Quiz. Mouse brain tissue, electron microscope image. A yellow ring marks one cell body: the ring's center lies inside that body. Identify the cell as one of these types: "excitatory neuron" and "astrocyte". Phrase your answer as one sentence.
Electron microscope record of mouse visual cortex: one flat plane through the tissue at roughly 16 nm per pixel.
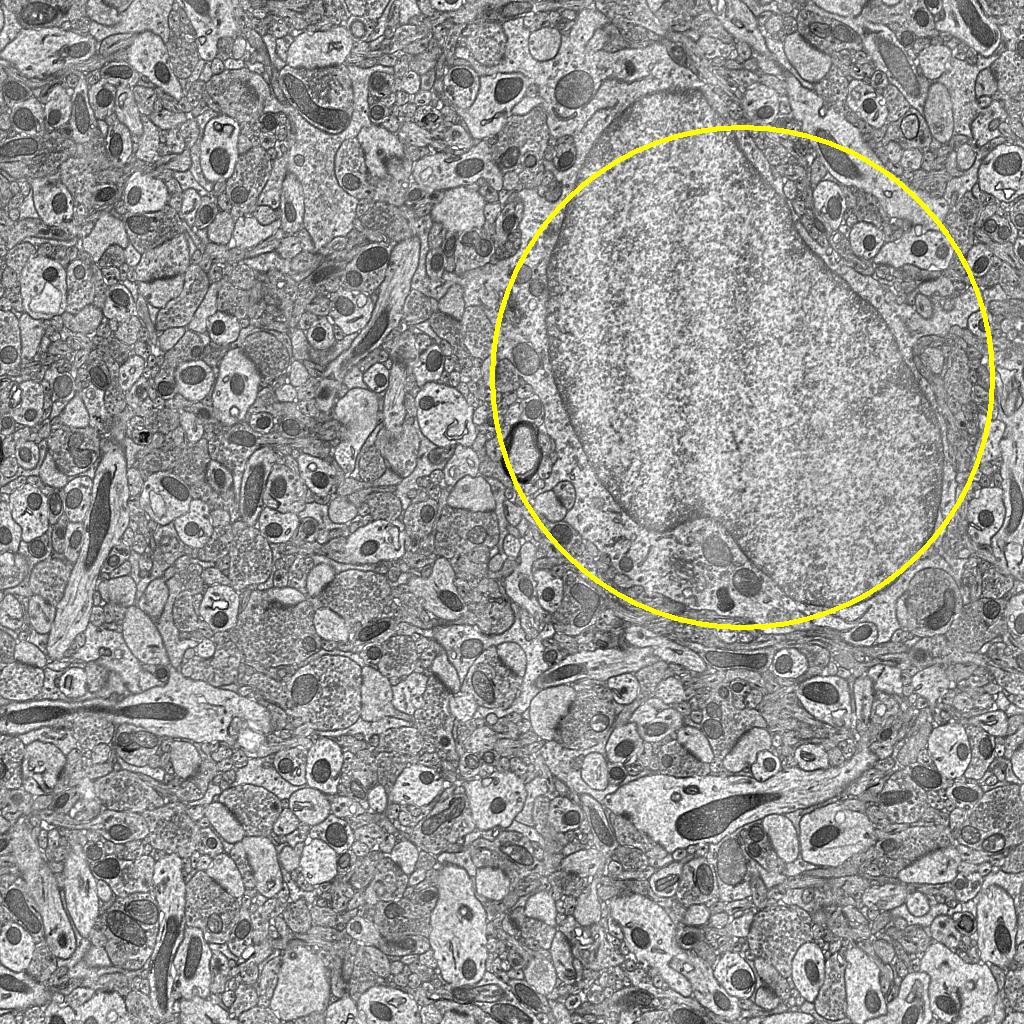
At the center of the ring sits an astrocyte.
